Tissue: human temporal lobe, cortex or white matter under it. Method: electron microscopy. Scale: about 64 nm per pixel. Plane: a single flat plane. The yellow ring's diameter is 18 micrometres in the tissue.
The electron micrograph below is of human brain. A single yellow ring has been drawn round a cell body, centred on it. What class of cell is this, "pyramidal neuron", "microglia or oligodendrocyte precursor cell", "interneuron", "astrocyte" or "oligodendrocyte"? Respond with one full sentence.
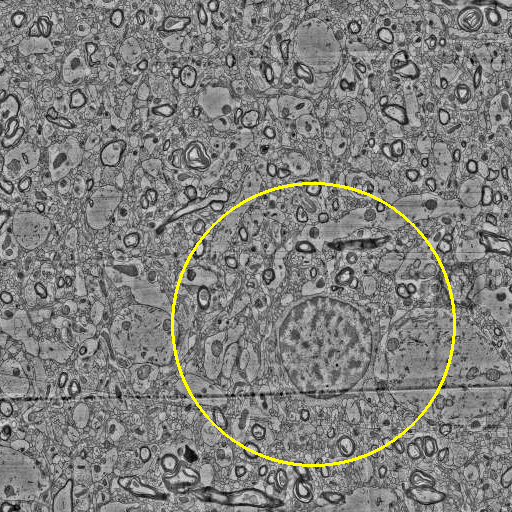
In the micrograph, the cell centred inside the yellow ring is an oligodendrocyte.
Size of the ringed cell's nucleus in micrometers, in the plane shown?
In this plane the nucleus is about 6 micrometres across.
